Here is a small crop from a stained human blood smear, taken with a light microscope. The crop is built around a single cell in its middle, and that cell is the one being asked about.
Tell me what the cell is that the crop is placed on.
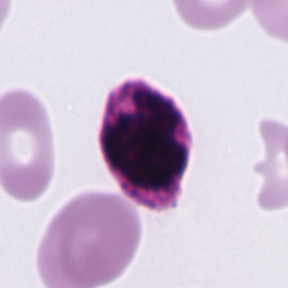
basophil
